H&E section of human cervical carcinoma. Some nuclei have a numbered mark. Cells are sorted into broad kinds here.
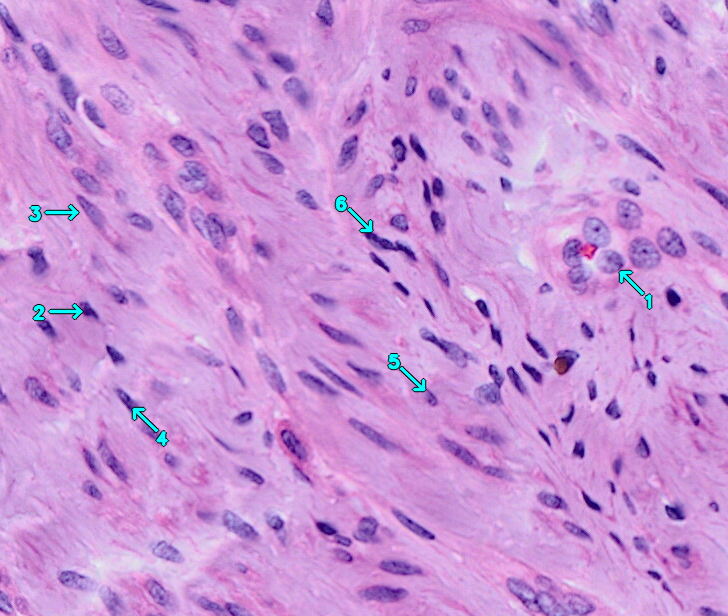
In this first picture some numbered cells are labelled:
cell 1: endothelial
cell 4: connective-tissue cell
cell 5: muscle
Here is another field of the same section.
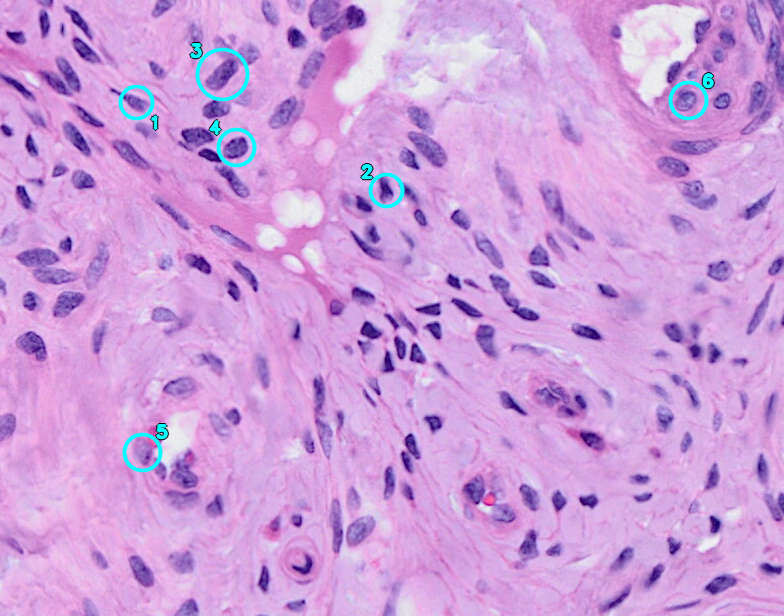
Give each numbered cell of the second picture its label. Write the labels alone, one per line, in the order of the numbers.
connective-tissue cell
connective-tissue cell
connective-tissue cell
connective-tissue cell
endothelial
muscle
